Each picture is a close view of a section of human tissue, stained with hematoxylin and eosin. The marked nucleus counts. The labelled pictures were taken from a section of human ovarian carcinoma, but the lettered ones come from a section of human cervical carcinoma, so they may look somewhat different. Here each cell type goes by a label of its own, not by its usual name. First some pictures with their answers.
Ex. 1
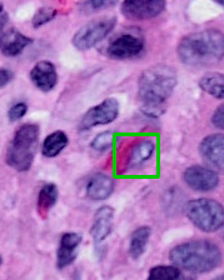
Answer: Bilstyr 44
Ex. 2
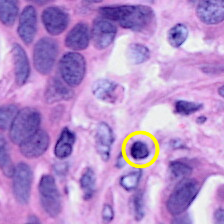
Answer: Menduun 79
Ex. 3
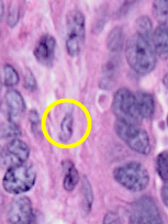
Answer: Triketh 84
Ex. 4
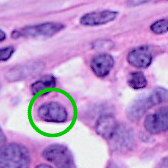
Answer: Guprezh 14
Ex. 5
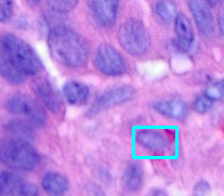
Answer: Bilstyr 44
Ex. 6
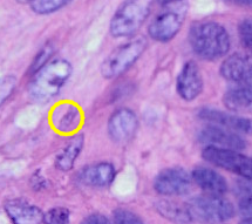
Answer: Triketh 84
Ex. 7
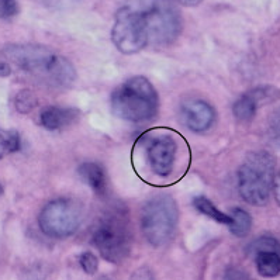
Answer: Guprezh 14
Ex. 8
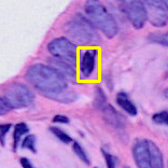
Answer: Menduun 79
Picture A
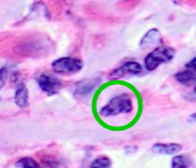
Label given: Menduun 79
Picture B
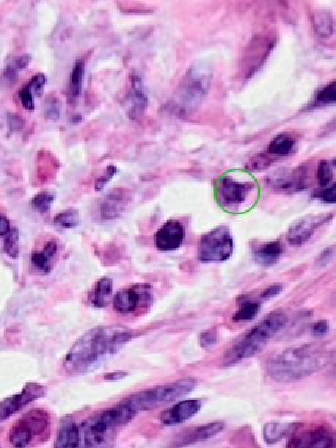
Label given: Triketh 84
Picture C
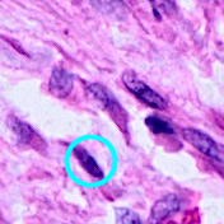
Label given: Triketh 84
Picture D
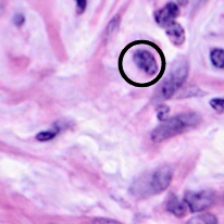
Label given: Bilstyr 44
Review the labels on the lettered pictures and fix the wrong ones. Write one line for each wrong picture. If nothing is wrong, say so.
B: change Triketh 84 to Guprezh 14
D: change Bilstyr 44 to Menduun 79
